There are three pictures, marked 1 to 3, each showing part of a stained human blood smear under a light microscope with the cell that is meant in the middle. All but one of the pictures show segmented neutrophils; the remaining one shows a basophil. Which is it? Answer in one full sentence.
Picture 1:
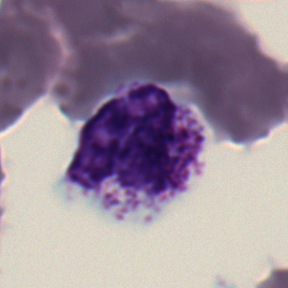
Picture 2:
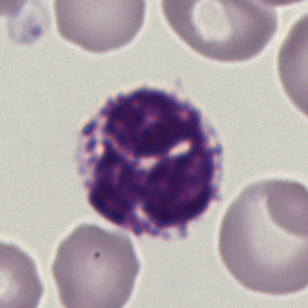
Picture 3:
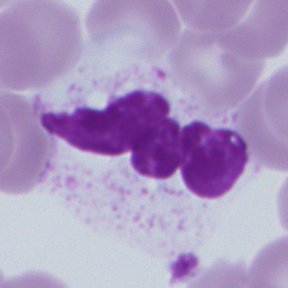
The picture with the basophil is 2.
